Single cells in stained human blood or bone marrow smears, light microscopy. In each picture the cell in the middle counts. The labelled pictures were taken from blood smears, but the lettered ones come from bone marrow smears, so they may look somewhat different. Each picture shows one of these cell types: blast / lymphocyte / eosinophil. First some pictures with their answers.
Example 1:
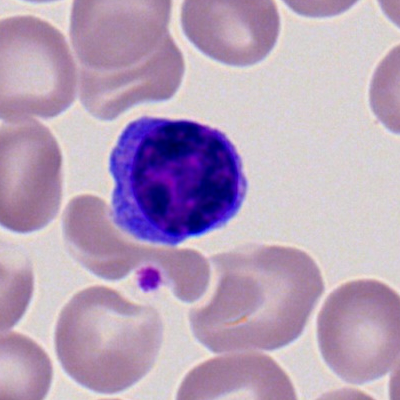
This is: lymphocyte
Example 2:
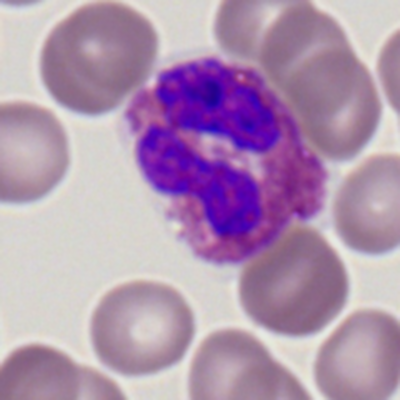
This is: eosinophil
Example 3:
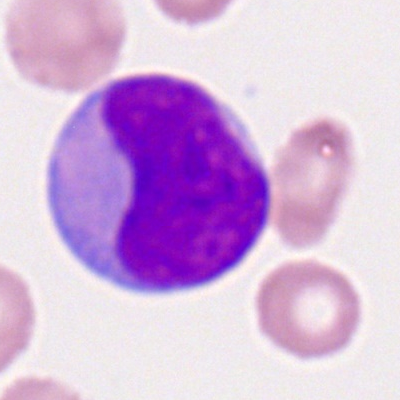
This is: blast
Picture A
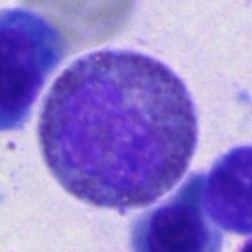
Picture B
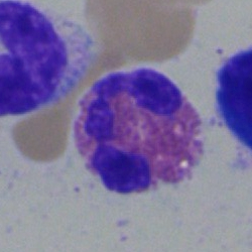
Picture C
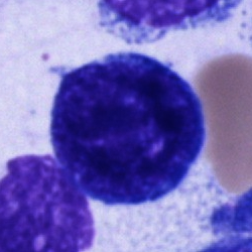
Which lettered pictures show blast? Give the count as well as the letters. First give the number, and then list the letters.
1: C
